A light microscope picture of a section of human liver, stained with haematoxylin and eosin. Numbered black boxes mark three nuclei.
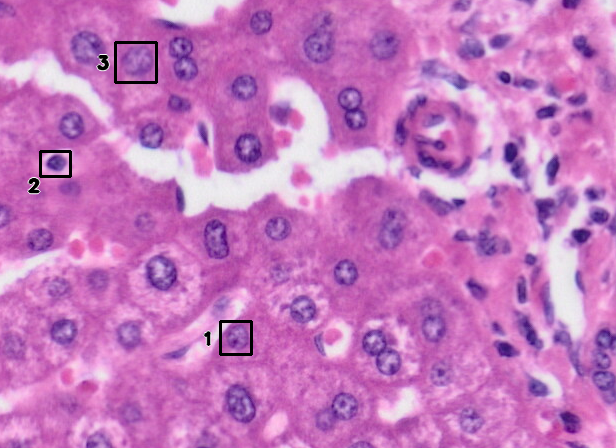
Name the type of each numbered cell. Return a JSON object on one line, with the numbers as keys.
{"1": "hepatocyte", "2": "lymphocyte", "3": "hepatocyte"}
